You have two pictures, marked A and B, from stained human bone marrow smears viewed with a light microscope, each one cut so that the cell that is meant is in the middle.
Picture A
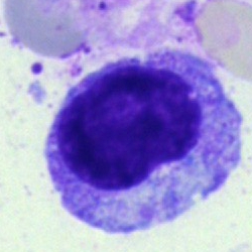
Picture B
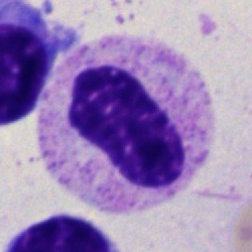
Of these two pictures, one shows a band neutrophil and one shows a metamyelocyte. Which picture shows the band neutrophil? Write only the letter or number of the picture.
B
